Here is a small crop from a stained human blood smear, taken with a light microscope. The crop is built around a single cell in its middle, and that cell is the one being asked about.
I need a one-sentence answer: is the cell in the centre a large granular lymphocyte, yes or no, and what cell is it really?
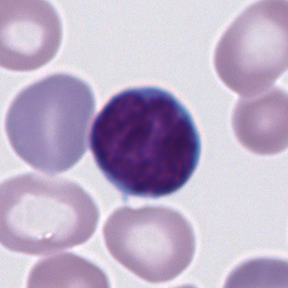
No, what is seen at the centre is a typical lymphocyte instead of a large granular lymphocyte.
